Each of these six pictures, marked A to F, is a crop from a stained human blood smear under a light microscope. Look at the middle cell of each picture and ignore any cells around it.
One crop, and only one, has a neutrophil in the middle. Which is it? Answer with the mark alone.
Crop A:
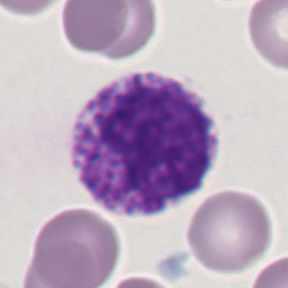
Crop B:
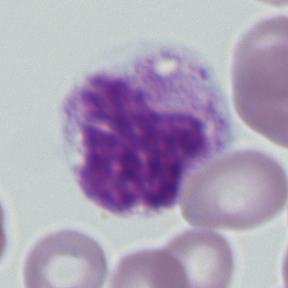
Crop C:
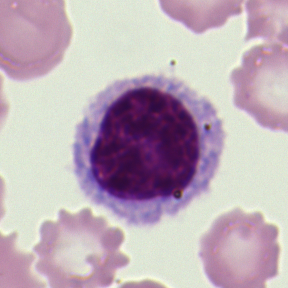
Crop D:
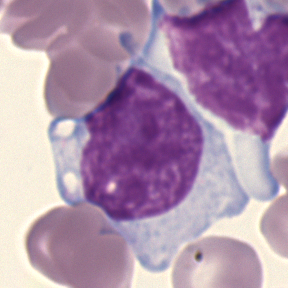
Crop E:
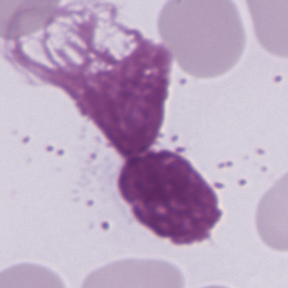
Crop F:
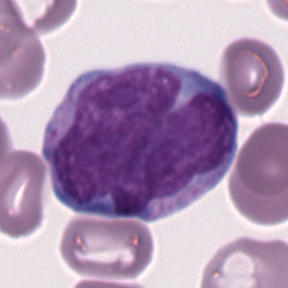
B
